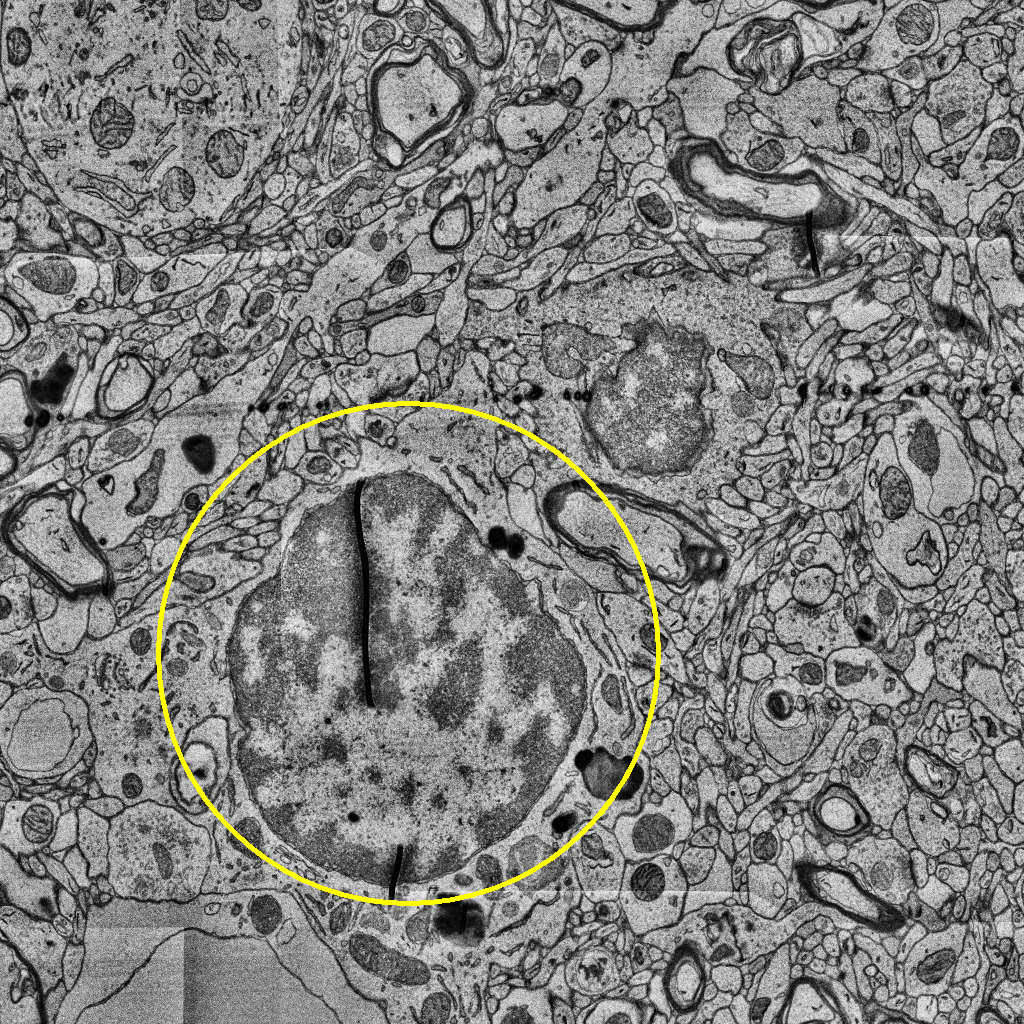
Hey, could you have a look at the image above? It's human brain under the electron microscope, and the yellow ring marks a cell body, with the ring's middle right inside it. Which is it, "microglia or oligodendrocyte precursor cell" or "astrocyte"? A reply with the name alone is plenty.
microglia or oligodendrocyte precursor cell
